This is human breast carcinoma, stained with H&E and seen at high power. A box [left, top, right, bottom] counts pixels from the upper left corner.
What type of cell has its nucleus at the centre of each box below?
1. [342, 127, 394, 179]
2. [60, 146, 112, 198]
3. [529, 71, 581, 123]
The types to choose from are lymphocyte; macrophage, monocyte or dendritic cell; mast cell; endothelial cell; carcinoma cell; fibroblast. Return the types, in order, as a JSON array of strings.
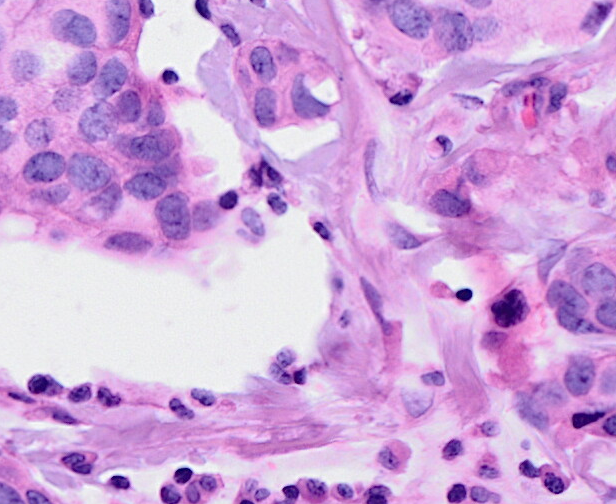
["fibroblast", "carcinoma cell", "endothelial cell"]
